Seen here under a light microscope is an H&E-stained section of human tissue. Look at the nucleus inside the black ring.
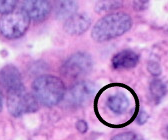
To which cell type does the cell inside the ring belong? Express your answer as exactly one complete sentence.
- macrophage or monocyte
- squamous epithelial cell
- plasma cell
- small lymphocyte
Microscopically, the cell inside the ring is categorized as a macrophage or monocyte.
